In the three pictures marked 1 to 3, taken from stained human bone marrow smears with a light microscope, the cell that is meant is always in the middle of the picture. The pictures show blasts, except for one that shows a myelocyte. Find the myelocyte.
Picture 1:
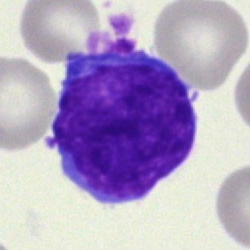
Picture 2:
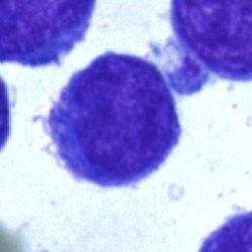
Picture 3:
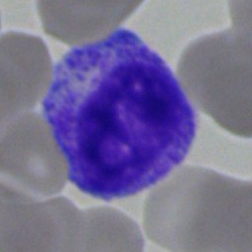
3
